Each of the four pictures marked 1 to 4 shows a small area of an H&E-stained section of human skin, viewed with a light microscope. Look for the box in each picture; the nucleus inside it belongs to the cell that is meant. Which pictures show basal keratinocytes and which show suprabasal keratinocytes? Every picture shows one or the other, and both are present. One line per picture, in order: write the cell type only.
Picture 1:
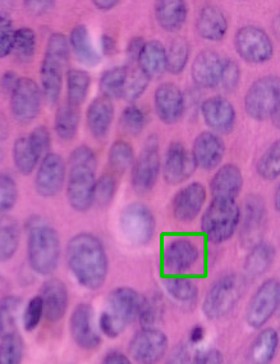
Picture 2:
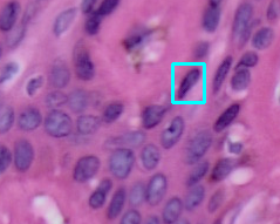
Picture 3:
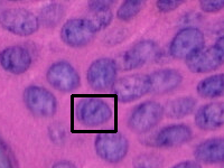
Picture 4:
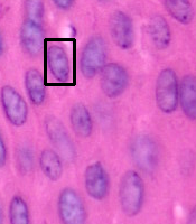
basal keratinocyte
basal keratinocyte
suprabasal keratinocyte
suprabasal keratinocyte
